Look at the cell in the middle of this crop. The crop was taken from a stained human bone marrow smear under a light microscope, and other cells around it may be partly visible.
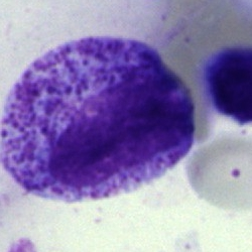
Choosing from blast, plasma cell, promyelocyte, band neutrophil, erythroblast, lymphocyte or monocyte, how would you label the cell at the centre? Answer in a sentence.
For this crop, the central cell is a promyelocyte.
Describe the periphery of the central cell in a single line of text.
The cell shows a smooth outline that lacks any surface projections.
